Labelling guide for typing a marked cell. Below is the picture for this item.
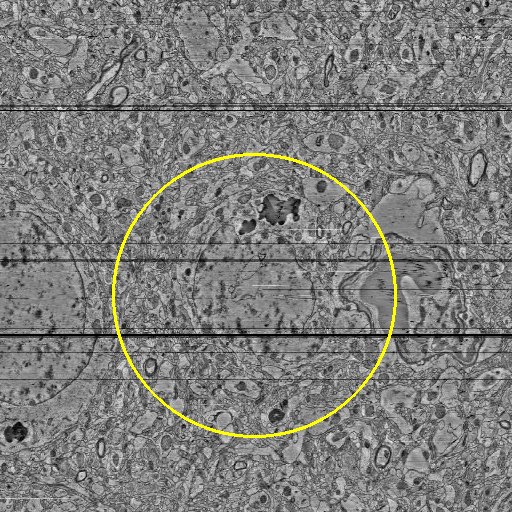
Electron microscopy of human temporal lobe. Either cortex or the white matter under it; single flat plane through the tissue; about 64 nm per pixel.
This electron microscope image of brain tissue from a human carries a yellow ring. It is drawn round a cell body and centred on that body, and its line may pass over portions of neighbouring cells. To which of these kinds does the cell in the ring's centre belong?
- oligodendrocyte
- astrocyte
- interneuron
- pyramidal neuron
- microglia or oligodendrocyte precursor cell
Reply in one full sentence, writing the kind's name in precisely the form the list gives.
Here we have an interneuron at the centre of the yellow ring in the picture.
